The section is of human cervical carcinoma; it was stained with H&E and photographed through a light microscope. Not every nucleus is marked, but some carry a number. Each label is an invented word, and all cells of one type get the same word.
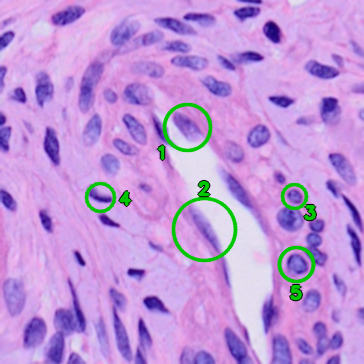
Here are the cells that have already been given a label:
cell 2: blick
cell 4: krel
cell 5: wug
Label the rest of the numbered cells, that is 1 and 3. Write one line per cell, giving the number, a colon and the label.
1: blick
3: wug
